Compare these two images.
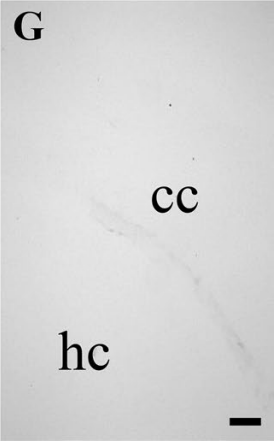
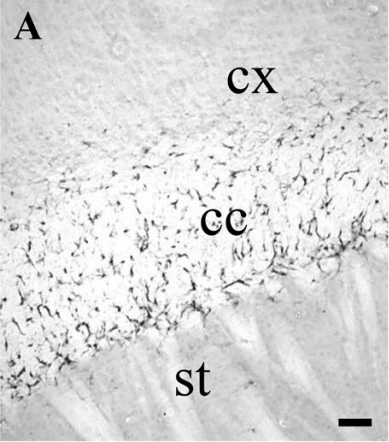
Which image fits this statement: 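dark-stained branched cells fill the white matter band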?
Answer: The second image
